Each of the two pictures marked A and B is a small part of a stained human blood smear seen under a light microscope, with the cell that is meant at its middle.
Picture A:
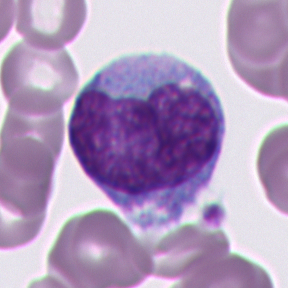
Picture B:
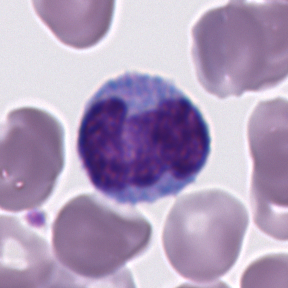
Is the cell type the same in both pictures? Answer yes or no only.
yes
